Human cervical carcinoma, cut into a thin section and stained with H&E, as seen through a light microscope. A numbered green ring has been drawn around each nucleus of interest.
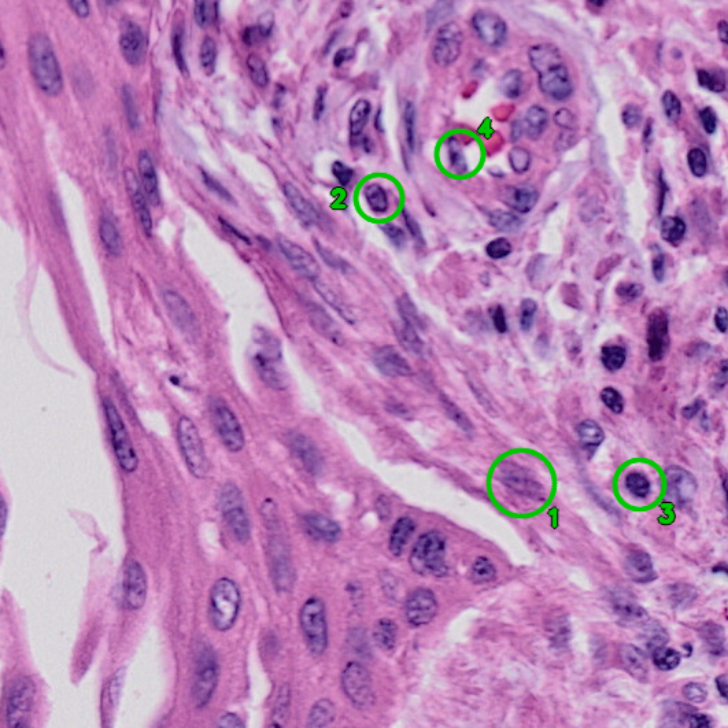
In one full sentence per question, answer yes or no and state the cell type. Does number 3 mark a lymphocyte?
Yes. The cell carrying number 3 is a lymphocyte.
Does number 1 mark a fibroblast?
Yes, among the marked cells, the one with number 1 is a fibroblast.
